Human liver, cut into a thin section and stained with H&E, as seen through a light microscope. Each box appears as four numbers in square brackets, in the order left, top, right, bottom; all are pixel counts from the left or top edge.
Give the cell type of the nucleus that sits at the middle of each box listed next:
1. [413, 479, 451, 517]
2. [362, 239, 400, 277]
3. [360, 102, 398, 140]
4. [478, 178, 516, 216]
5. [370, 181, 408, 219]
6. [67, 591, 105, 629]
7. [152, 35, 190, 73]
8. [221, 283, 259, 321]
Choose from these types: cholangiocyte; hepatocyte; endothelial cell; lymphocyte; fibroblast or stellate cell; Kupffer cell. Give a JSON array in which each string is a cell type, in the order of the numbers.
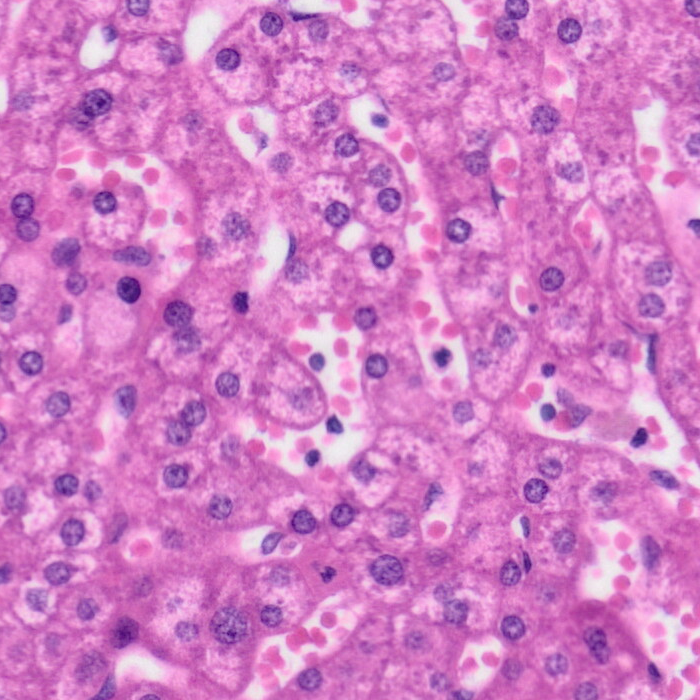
["endothelial cell", "hepatocyte", "lymphocyte", "endothelial cell", "hepatocyte", "hepatocyte", "hepatocyte", "fibroblast or stellate cell"]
